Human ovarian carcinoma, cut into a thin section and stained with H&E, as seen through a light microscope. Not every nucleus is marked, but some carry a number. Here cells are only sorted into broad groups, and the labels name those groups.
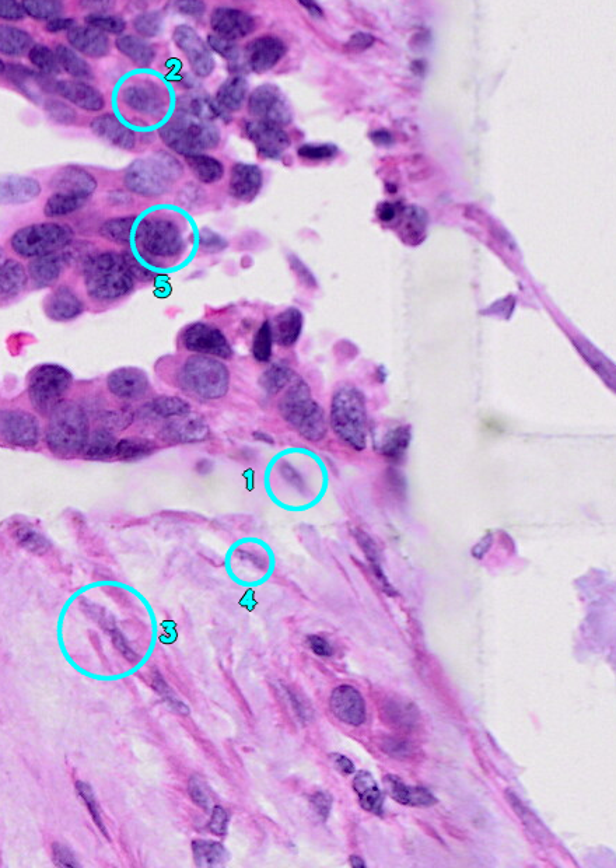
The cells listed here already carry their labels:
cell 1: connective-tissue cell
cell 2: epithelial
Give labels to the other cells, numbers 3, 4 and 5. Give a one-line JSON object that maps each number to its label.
{"3": "connective-tissue cell", "4": "connective-tissue cell", "5": "epithelial"}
